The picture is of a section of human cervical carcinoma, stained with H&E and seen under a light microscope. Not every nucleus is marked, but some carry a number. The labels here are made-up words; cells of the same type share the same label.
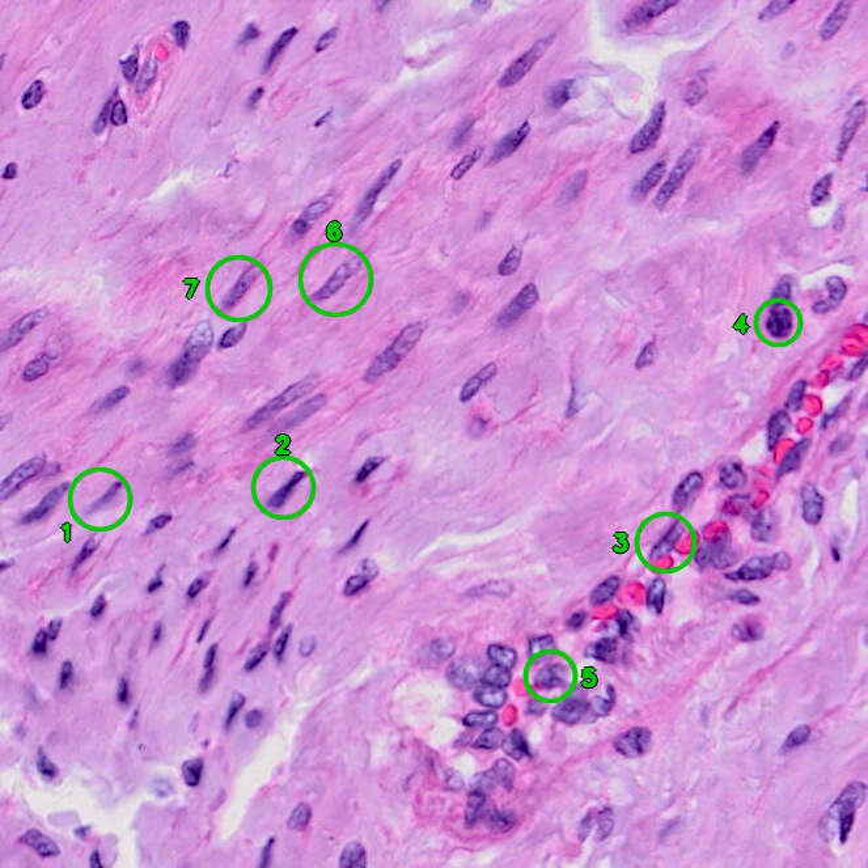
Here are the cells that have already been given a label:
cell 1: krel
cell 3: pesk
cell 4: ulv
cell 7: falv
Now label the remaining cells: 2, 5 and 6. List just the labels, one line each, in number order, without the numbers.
krel
pesk
falv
